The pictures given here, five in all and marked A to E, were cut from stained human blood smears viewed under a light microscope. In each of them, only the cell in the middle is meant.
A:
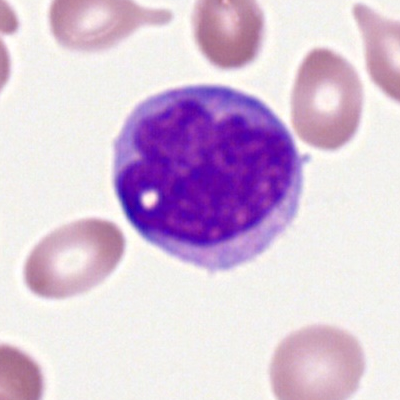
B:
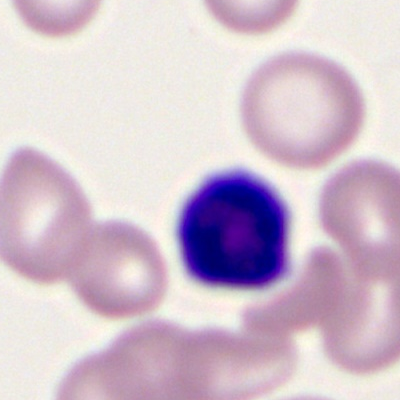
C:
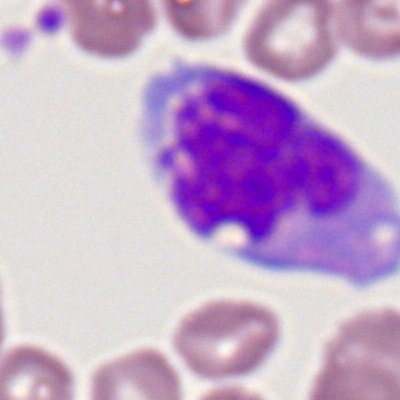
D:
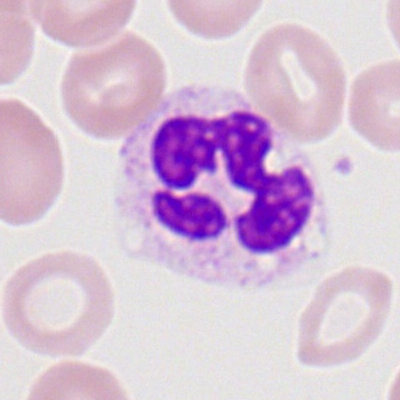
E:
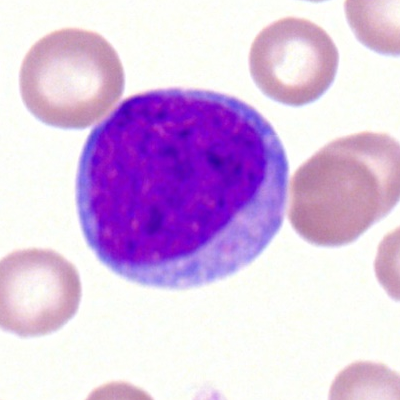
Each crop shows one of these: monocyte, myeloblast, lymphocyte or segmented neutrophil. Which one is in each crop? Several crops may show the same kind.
A: monocyte
B: lymphocyte
C: monocyte
D: segmented neutrophil
E: myeloblast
